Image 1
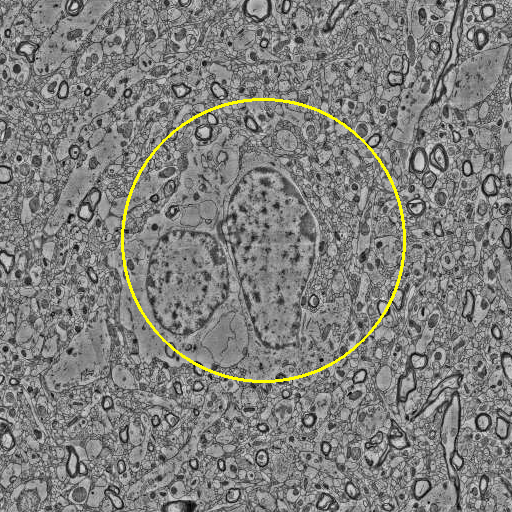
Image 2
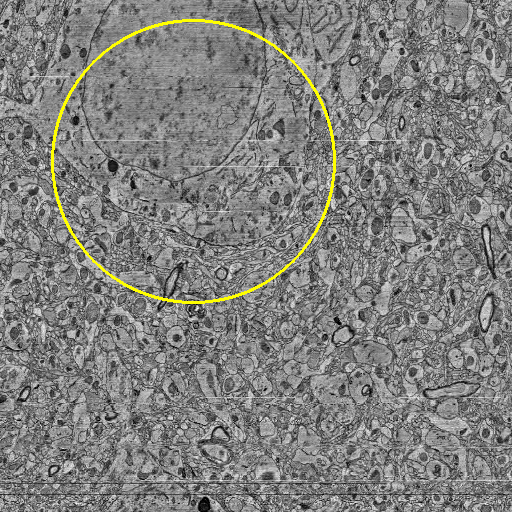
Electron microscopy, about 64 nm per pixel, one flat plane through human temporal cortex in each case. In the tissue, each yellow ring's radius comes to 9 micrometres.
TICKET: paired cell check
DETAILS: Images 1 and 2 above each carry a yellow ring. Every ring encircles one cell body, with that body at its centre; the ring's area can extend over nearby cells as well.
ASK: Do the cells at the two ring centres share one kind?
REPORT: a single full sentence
No, the ring-centre cells of Images 1 and 2 belong to two kinds.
